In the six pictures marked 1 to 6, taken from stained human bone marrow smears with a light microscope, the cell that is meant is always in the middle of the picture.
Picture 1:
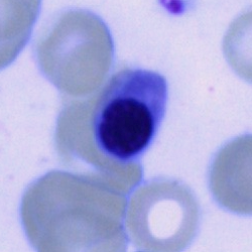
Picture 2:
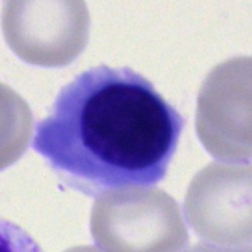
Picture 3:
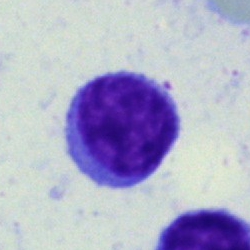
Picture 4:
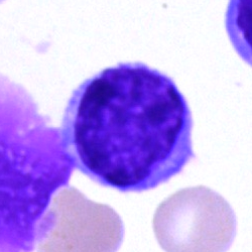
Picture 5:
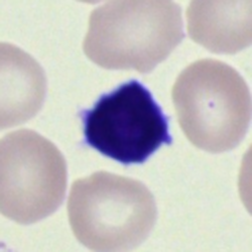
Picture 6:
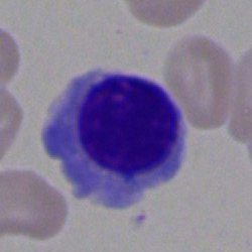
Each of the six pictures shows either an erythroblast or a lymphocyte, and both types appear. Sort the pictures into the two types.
1: erythroblast
2: erythroblast
3: lymphocyte
4: lymphocyte
5: lymphocyte
6: erythroblast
